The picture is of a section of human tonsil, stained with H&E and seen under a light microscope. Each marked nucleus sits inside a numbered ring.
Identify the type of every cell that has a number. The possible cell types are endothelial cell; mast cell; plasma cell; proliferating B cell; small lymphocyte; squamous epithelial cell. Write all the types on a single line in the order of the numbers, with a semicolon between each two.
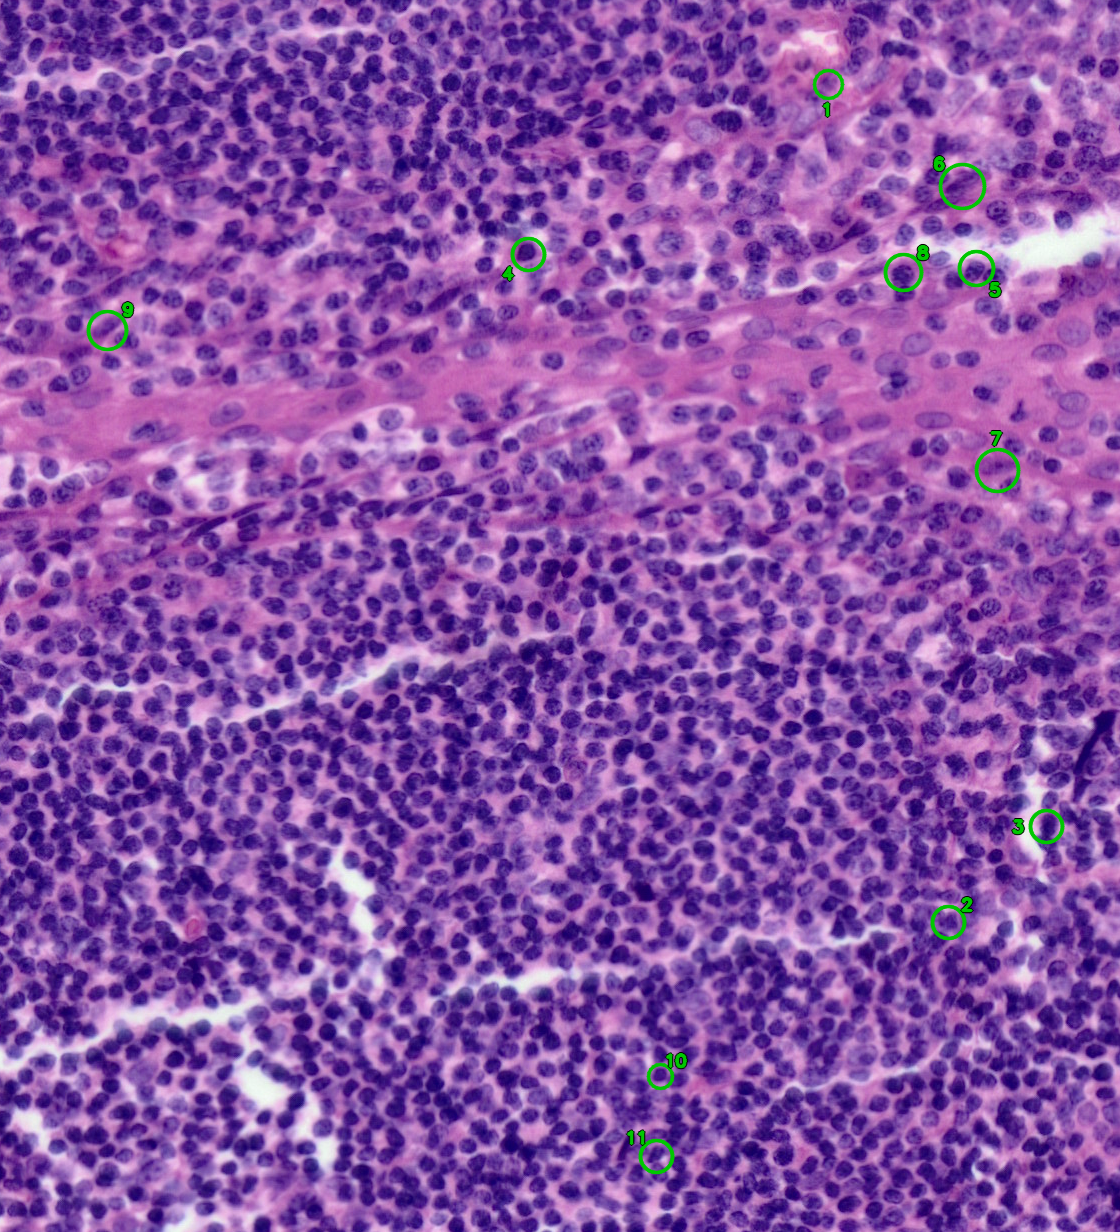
endothelial cell; small lymphocyte; small lymphocyte; plasma cell; plasma cell; squamous epithelial cell; squamous epithelial cell; plasma cell; squamous epithelial cell; small lymphocyte; small lymphocyte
